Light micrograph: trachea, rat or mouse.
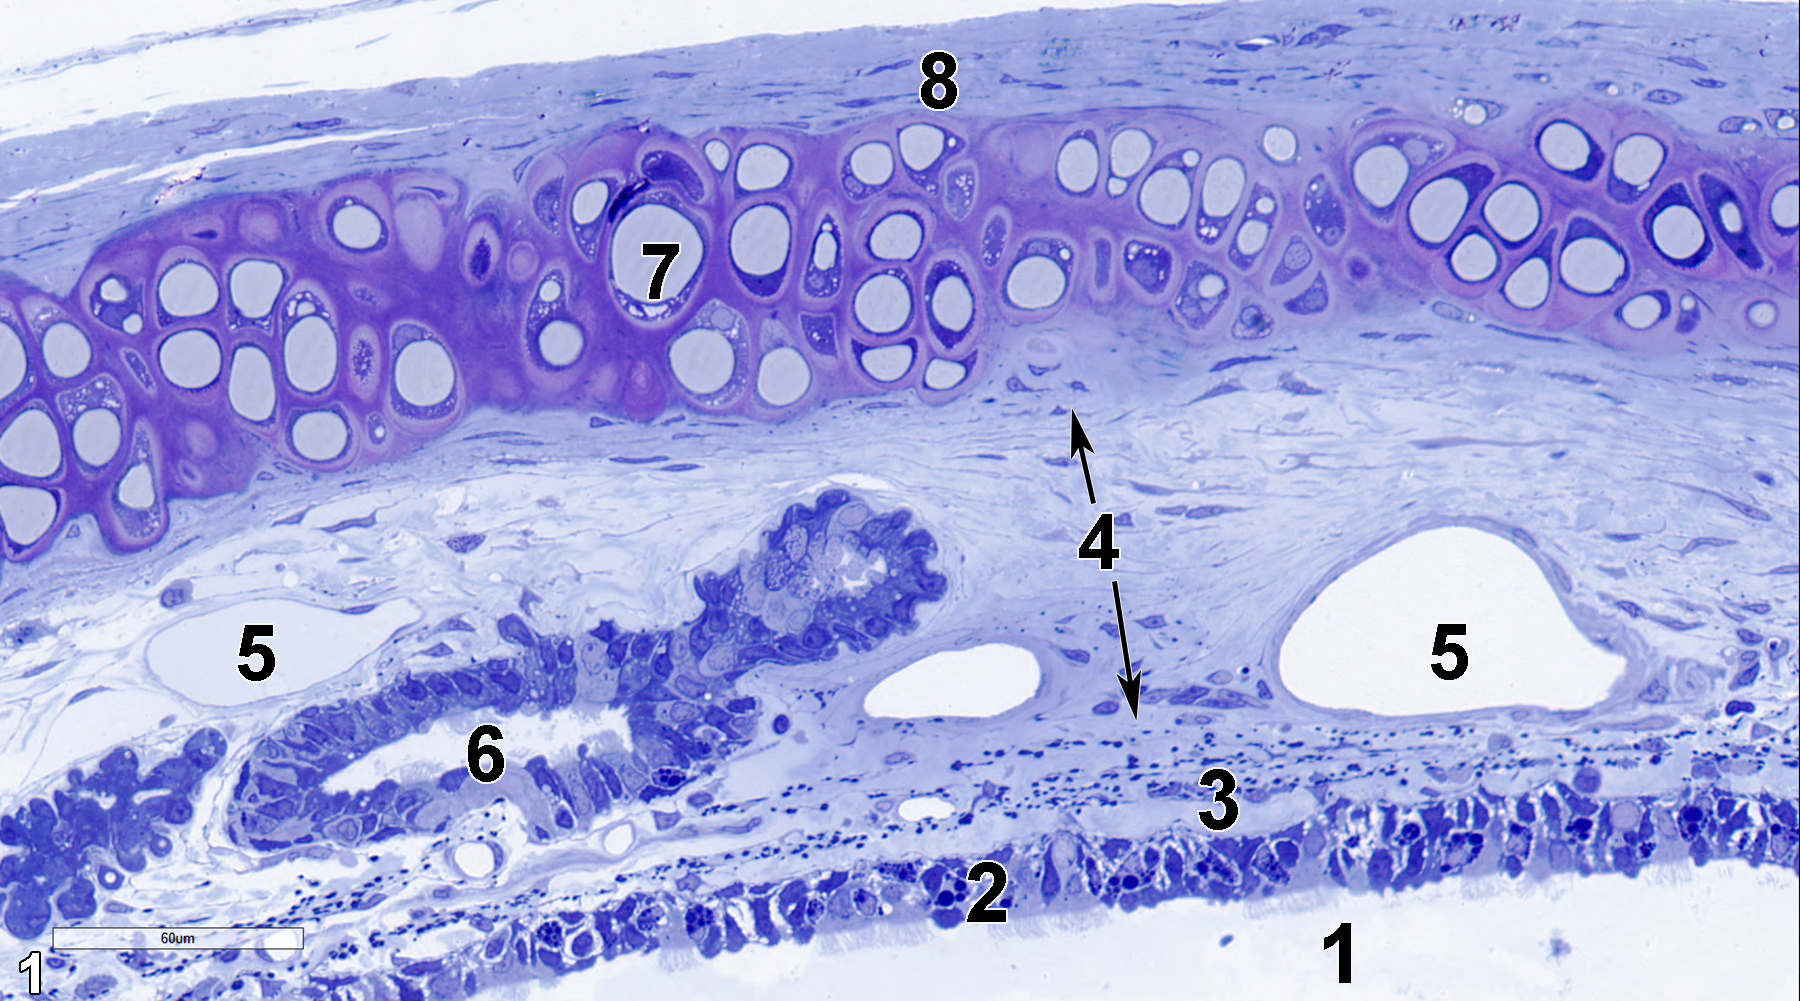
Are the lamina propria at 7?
No, 7 marks the cartilage.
